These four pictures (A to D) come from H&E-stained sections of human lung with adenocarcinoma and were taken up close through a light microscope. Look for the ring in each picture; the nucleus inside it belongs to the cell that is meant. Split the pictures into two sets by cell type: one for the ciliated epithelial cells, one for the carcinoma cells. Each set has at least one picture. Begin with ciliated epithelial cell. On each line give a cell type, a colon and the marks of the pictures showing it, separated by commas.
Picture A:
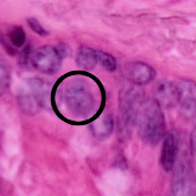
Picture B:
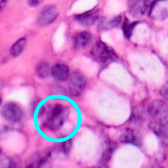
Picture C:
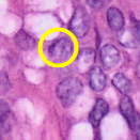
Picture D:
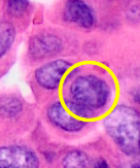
ciliated epithelial cell: A, B, C
carcinoma cell: D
